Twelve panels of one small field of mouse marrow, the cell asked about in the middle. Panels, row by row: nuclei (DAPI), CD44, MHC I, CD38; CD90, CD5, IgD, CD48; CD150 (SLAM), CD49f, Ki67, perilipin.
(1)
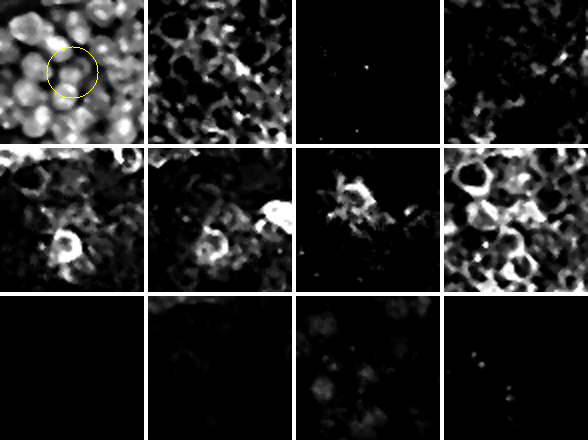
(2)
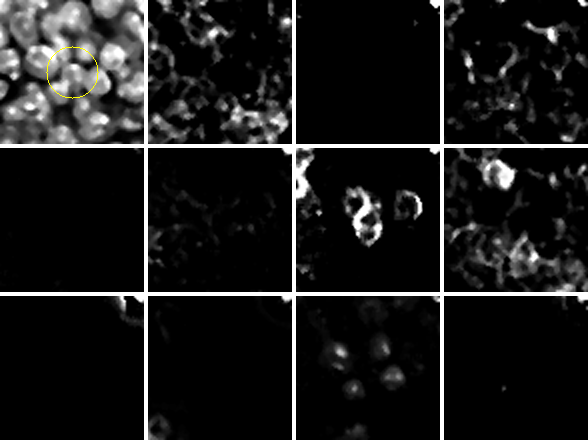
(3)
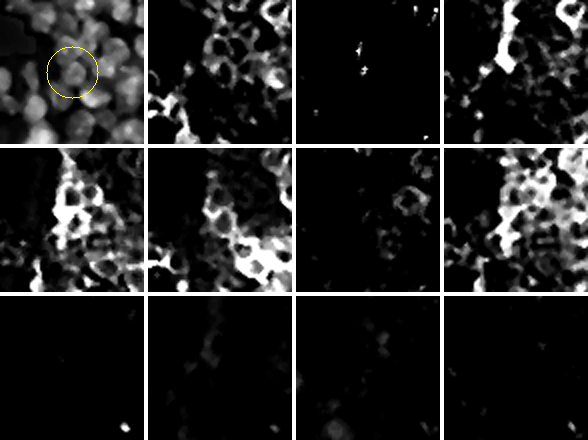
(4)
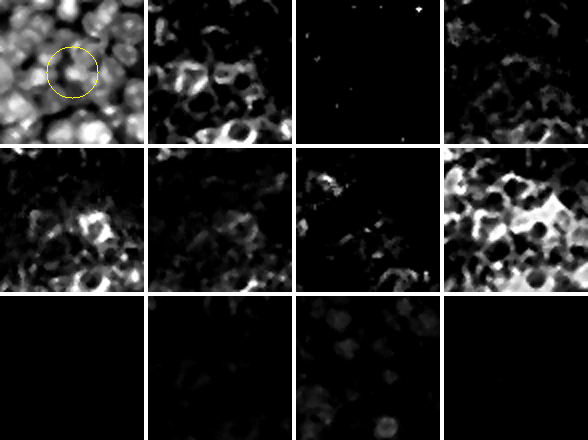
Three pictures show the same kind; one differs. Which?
Picture 3: a capillary endothelial cell, while the others are B cells.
